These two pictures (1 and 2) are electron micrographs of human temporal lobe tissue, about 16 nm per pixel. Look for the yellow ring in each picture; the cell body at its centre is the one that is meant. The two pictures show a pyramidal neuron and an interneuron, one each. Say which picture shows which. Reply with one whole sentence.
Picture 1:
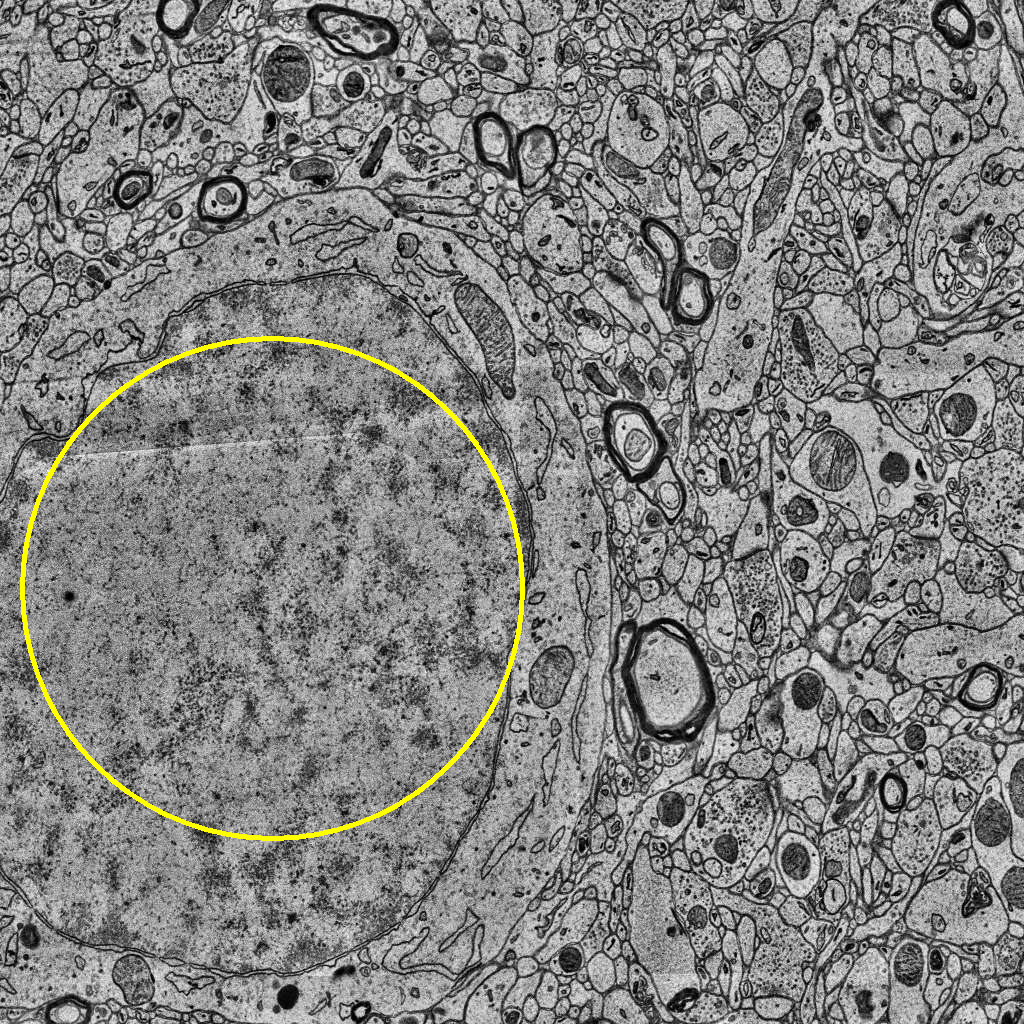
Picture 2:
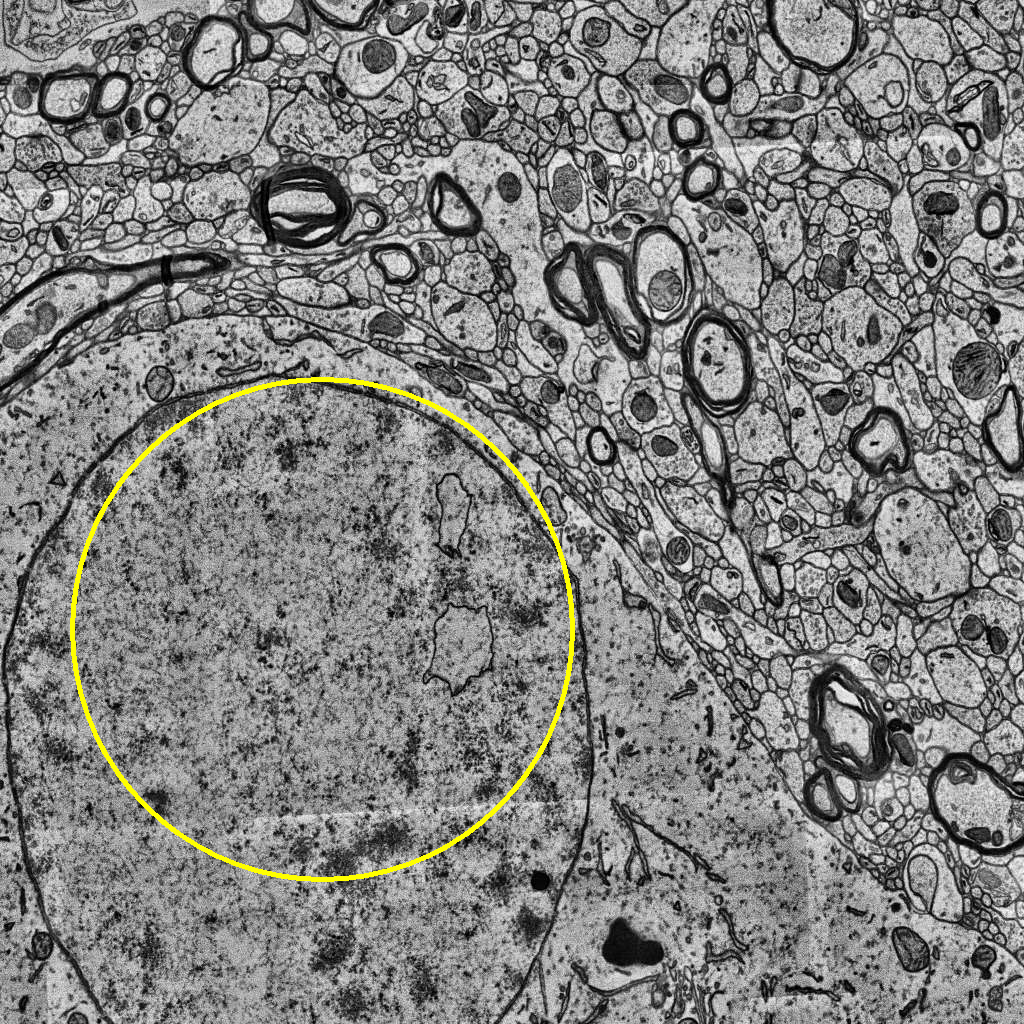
It is picture 1 that shows an interneuron, and picture 2 that shows a pyramidal neuron.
